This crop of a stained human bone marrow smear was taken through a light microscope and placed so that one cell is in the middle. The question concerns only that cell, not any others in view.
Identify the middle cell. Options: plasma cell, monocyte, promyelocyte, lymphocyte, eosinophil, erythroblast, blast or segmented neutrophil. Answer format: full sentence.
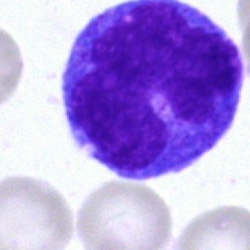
To answer, the cell in the center of the crop is a monocyte.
